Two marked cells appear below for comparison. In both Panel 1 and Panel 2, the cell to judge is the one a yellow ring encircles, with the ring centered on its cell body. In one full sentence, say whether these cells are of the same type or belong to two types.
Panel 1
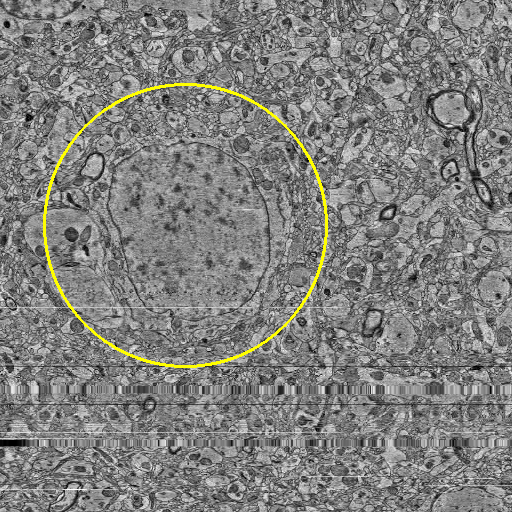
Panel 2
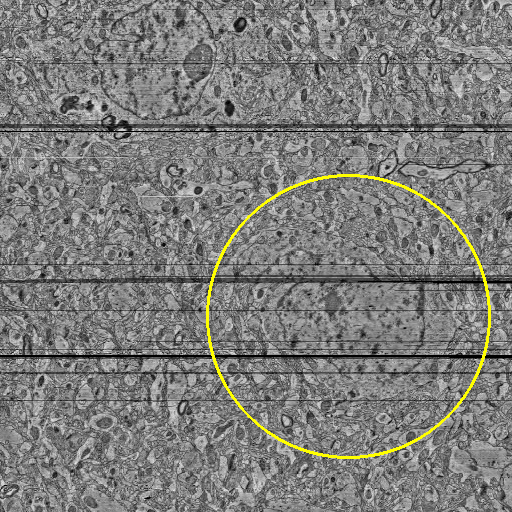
The cell centered in the Panel 1 ring and the one in Panel 2 belong to two types.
